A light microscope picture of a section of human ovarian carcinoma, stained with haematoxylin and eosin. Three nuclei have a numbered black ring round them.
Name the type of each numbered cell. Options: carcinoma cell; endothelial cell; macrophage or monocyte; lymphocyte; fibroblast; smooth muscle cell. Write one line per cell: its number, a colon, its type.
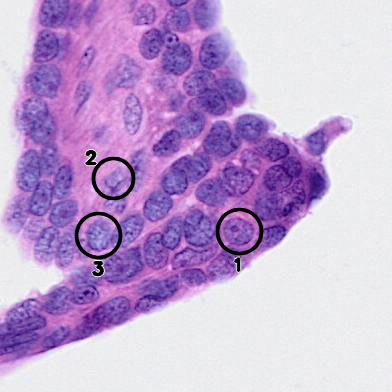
1: carcinoma cell
2: fibroblast
3: carcinoma cell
